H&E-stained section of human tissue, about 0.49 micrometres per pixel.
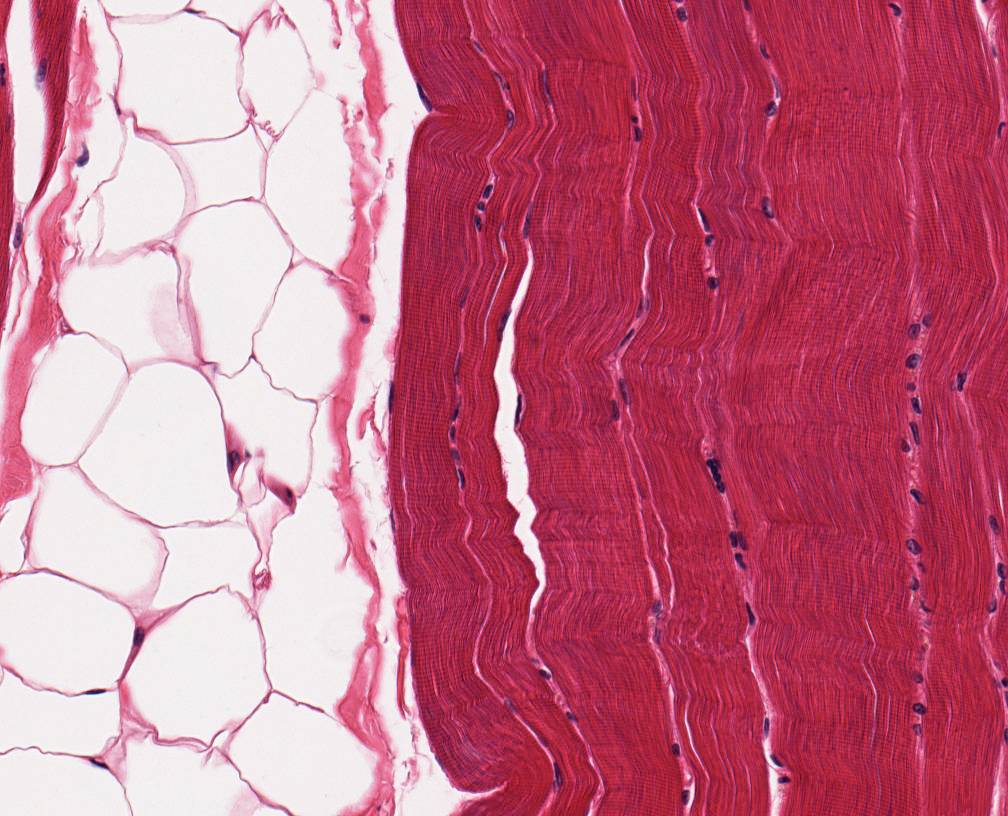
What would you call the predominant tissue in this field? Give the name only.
skeletal muscle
